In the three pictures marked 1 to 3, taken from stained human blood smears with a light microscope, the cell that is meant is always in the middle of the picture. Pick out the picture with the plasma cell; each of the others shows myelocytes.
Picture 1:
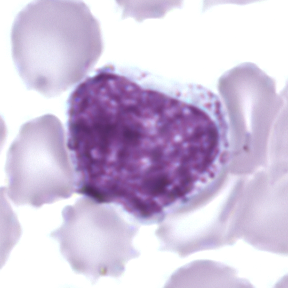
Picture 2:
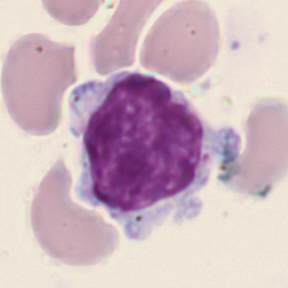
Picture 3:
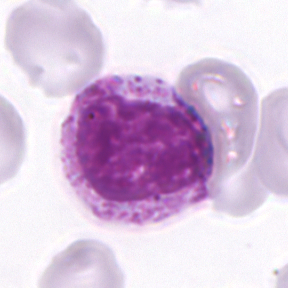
2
